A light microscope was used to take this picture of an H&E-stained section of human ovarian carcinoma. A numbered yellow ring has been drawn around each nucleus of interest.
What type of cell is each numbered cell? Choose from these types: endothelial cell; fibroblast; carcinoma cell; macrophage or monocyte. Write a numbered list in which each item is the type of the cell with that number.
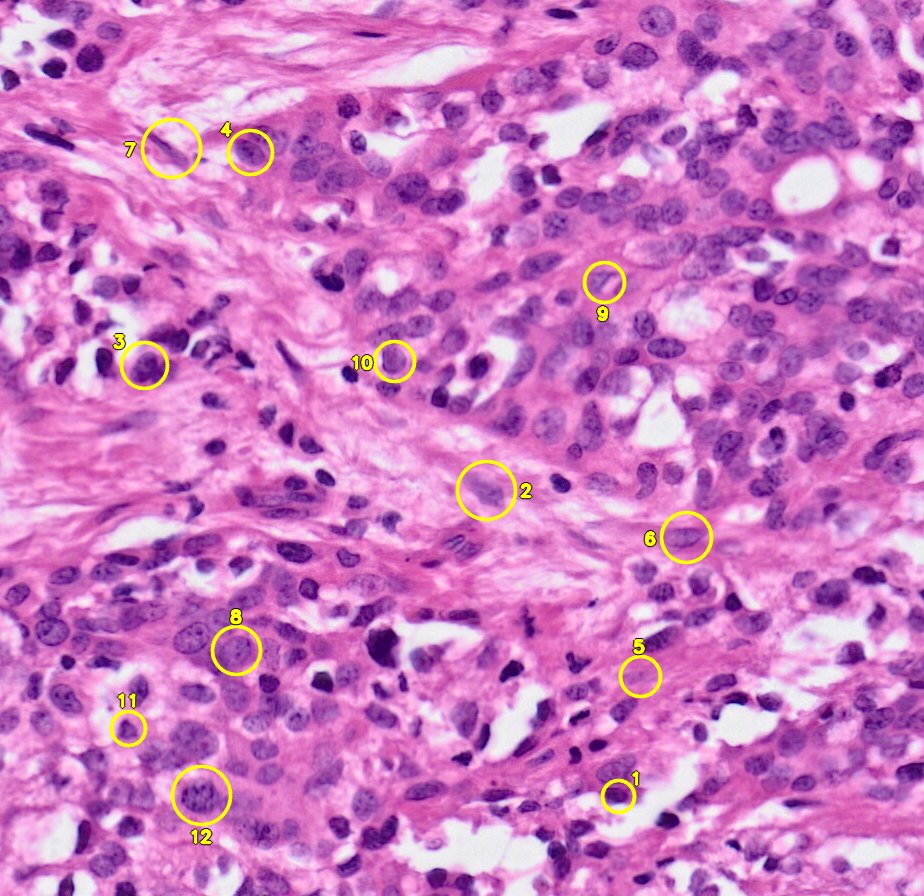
1. carcinoma cell
2. fibroblast
3. carcinoma cell
4. carcinoma cell
5. fibroblast
6. endothelial cell
7. fibroblast
8. carcinoma cell
9. endothelial cell
10. carcinoma cell
11. macrophage or monocyte
12. carcinoma cell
